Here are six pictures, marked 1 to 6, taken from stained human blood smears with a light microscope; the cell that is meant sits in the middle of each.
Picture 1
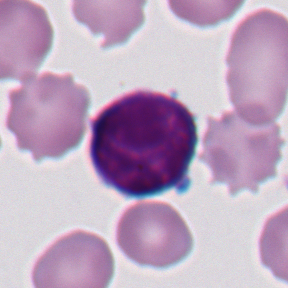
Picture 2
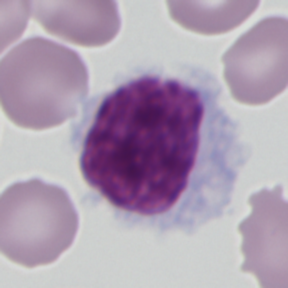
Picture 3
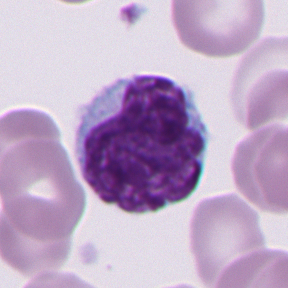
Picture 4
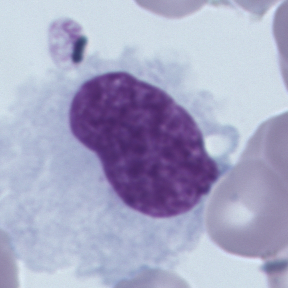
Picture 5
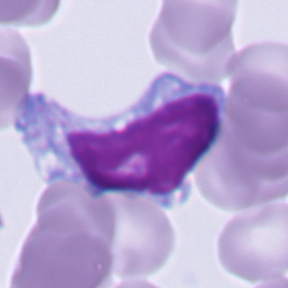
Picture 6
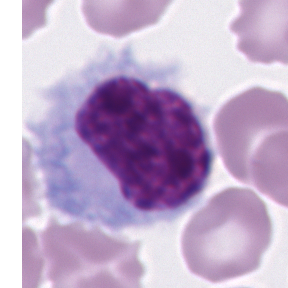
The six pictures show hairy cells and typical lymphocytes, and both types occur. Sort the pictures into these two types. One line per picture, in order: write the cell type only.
typical lymphocyte
hairy cell
typical lymphocyte
hairy cell
typical lymphocyte
hairy cell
